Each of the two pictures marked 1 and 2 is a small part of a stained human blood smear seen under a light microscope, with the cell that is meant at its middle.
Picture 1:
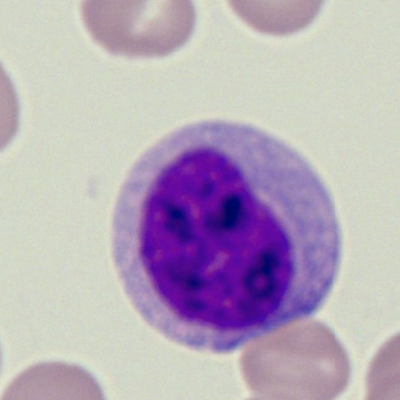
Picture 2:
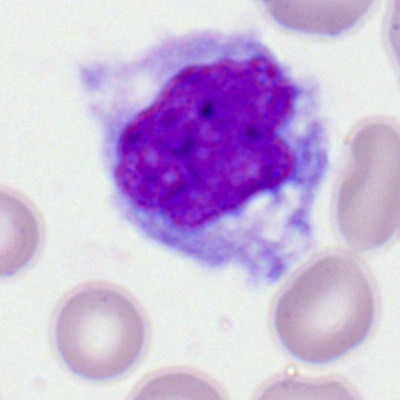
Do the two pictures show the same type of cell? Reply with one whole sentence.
Yes, they are the same type: both are monocytes.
